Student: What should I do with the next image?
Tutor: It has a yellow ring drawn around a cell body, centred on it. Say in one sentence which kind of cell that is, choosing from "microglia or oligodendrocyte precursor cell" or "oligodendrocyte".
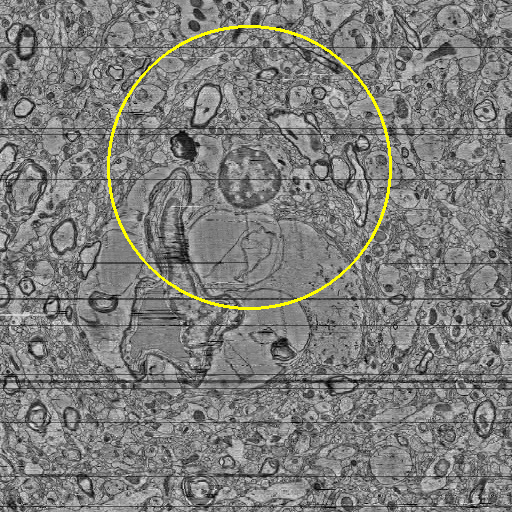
The ring's centre is occupied by a microglial cell or oligodendrocyte precursor cell.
